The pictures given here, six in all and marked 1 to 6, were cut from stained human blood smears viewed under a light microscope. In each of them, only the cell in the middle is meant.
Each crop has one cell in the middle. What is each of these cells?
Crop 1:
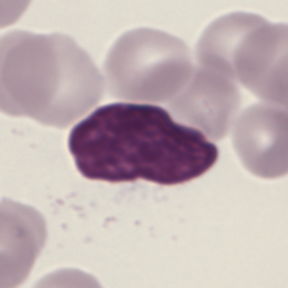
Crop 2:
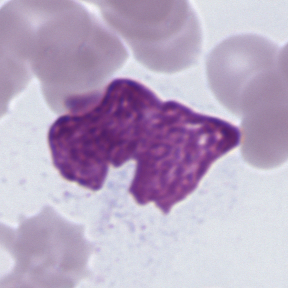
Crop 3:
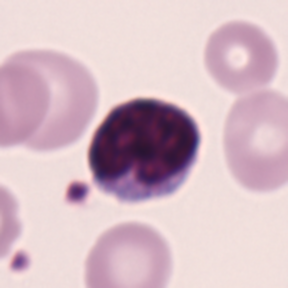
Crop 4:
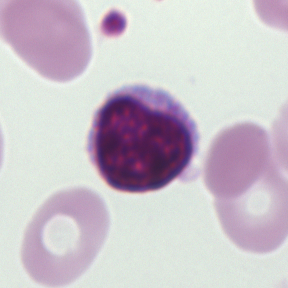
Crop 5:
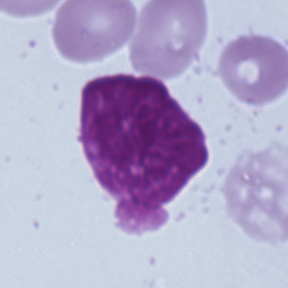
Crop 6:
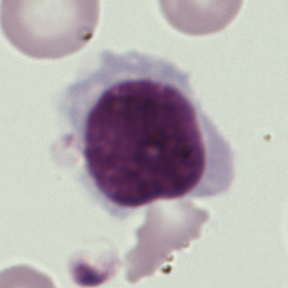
1: smudge cell
2: smudge cell
3: typical lymphocyte
4: typical lymphocyte
5: smudge cell
6: hairy cell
